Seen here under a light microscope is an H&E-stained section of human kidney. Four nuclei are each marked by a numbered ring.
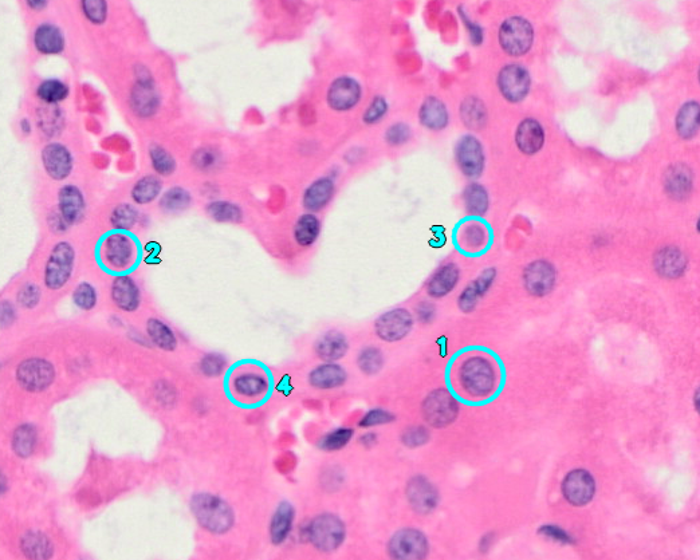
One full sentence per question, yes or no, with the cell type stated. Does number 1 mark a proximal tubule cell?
Yes, in this section the cell numbered 1 is a proximal tubule cell.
